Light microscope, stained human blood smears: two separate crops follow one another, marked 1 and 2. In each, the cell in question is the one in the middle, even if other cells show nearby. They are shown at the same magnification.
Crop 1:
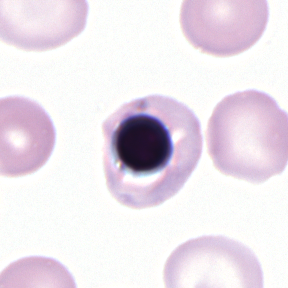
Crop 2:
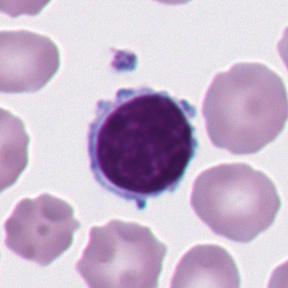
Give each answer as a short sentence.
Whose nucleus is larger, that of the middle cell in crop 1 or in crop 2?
It is the nucleus in crop 2, about 3 times as large in area as the one in crop 1.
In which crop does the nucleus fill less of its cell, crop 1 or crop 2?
It is the cell in crop 1 that is filled less by its nucleus.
